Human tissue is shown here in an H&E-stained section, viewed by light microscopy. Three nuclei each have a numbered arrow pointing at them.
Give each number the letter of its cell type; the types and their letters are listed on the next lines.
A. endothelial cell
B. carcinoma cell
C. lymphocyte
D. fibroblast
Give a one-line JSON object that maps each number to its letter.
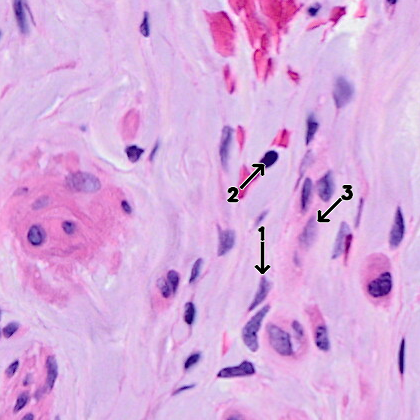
{"1": "D", "2": "C", "3": "A"}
